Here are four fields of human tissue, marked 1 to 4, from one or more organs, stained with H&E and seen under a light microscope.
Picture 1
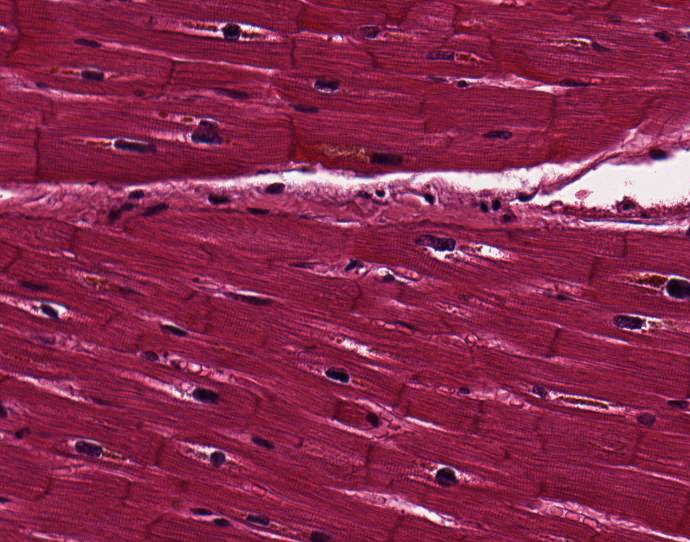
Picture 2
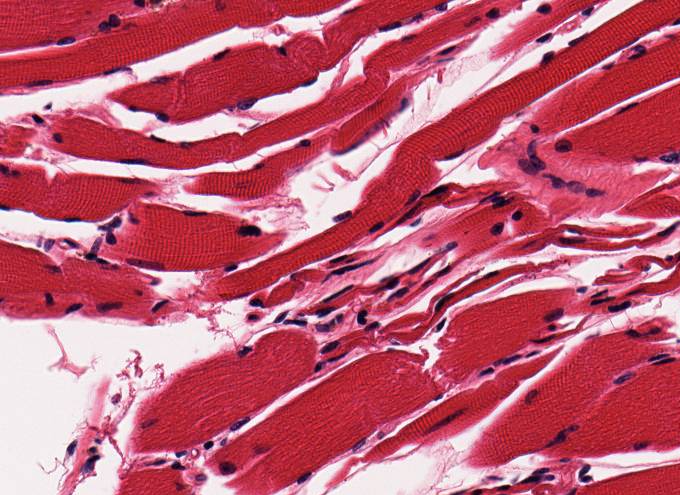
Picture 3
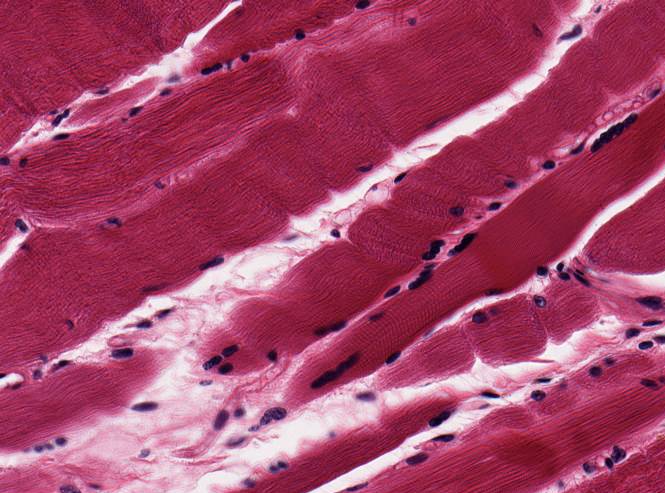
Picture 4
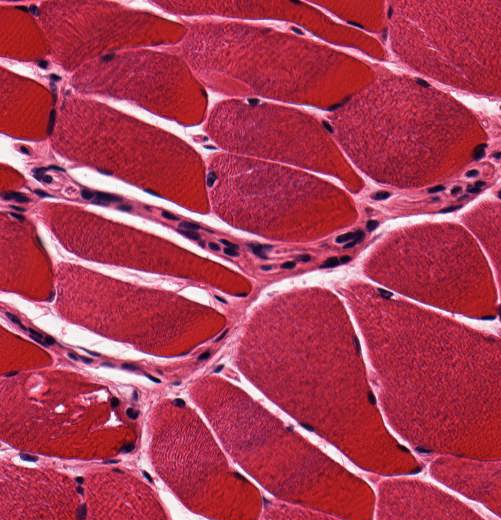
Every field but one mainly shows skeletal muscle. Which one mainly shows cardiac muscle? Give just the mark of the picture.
1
